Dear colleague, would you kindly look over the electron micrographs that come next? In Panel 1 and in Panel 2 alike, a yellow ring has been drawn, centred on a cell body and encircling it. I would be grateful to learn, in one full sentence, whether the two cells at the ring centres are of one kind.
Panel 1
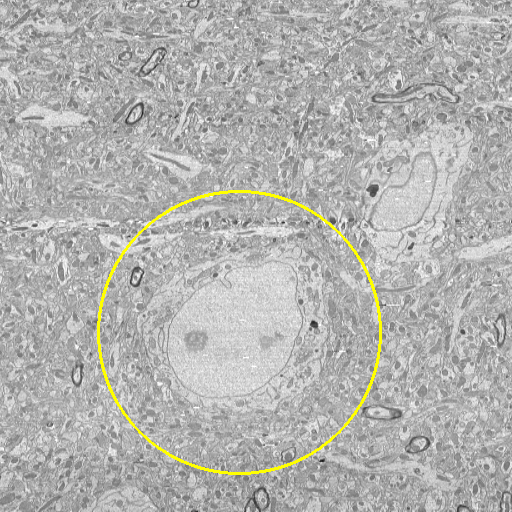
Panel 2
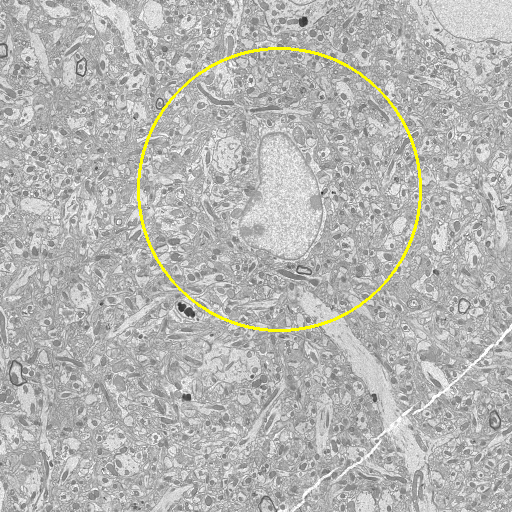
No, the cells in the middle of the rings in the two panels are of two kinds.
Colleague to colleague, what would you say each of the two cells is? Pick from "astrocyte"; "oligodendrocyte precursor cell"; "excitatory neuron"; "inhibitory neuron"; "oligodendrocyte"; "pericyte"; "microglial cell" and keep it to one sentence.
The cell in the first picture is an excitatory neuron; the second picture's cell is an astrocyte.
